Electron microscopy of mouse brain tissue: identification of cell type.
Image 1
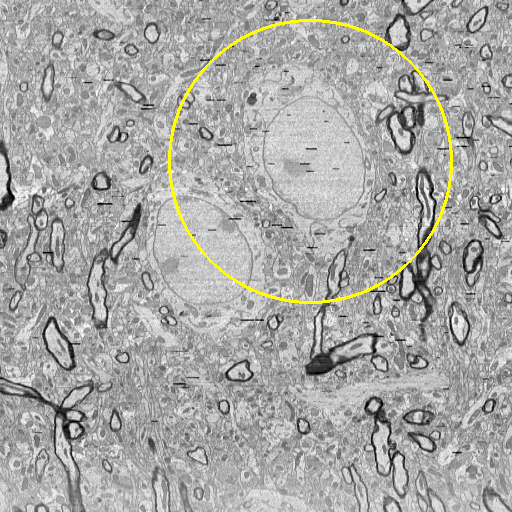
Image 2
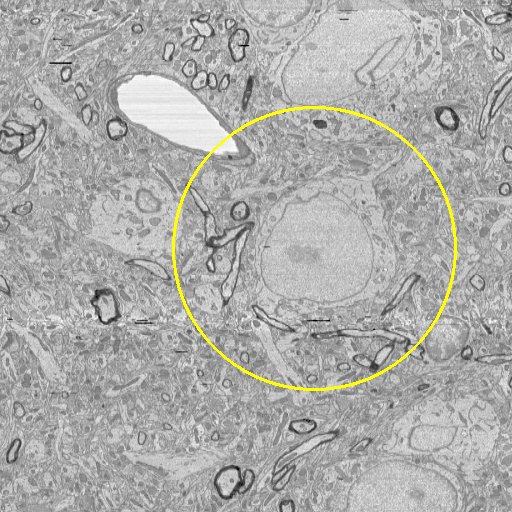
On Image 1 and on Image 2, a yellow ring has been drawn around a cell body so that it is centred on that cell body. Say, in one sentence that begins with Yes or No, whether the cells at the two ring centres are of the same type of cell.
Yes, both cells are the same type of cell.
